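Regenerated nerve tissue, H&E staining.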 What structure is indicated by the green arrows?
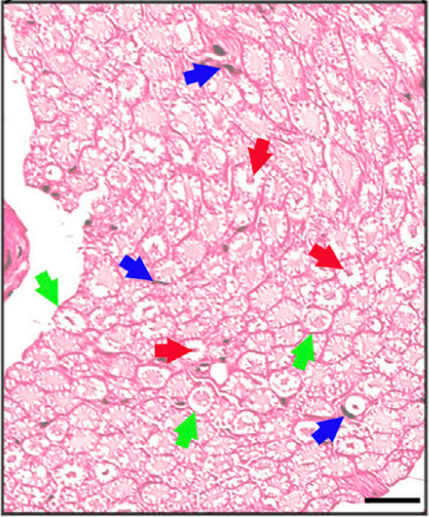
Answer: Myelin sheath.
